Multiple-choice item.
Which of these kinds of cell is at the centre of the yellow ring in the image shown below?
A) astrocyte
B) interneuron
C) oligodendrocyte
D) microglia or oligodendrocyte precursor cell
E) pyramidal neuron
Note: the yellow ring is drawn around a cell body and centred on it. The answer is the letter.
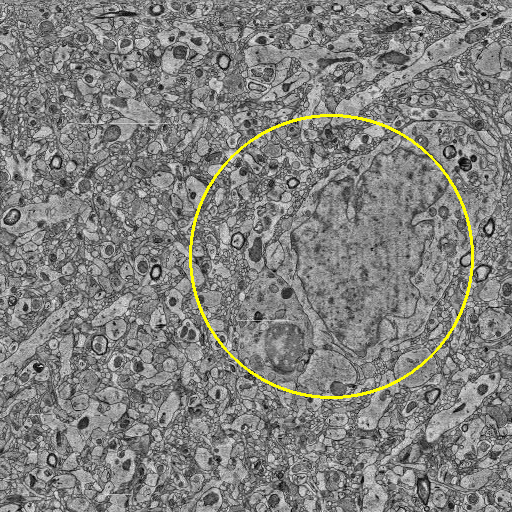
B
